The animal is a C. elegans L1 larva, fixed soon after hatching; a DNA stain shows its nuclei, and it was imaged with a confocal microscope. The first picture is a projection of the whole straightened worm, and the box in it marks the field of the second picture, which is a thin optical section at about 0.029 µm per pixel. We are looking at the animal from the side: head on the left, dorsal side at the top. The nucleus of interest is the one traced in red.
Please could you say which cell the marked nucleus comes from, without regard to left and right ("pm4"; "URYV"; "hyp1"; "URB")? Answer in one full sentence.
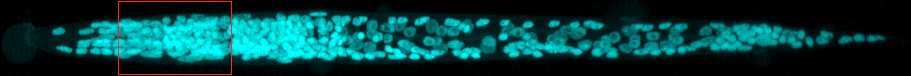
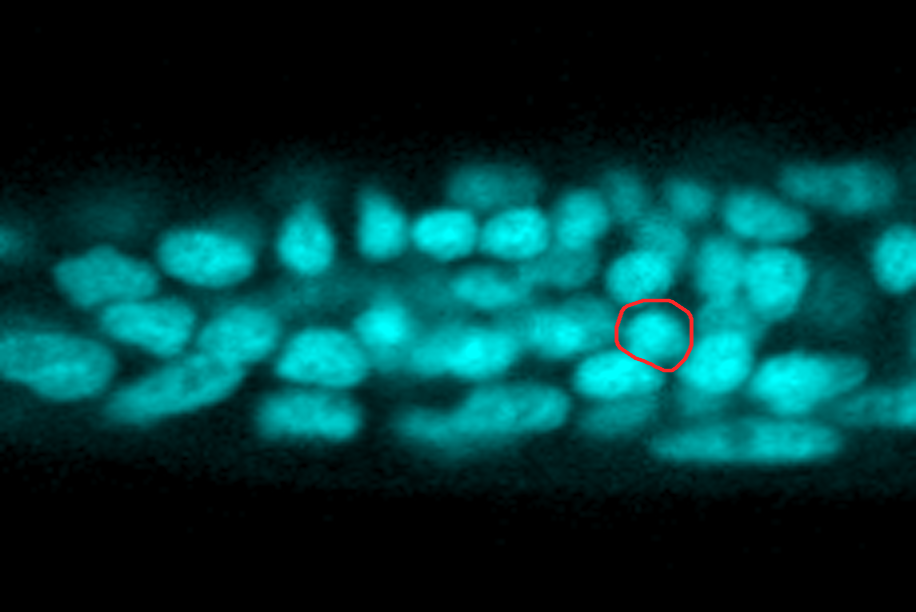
The nucleus is from URYV, a neuron.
